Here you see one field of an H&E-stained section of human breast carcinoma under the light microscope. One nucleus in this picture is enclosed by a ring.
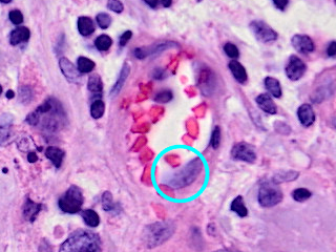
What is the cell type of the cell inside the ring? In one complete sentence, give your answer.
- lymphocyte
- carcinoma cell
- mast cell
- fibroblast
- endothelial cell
Within this tissue, the cell inside the ring is an endothelial cell.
